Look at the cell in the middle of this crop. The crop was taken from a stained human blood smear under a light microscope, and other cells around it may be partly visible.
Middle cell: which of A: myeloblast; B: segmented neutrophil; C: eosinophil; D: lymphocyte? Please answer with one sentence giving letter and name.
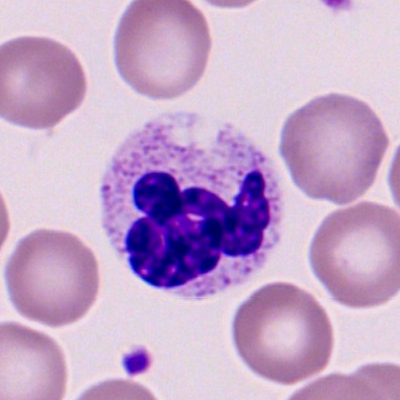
Option B is correct here, and the cell in the middle is a segmented neutrophil.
